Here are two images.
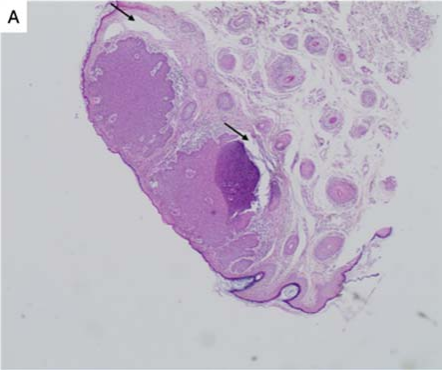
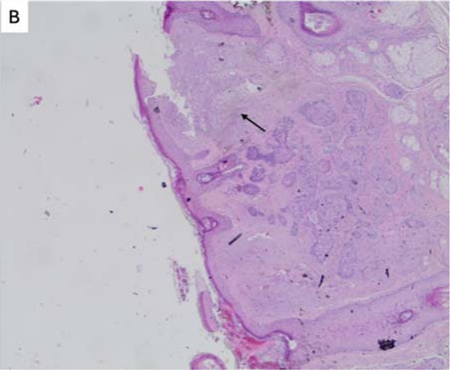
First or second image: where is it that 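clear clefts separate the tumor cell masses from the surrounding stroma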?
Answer: The first image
